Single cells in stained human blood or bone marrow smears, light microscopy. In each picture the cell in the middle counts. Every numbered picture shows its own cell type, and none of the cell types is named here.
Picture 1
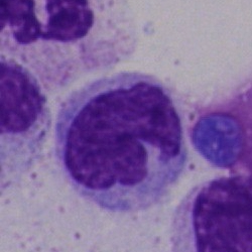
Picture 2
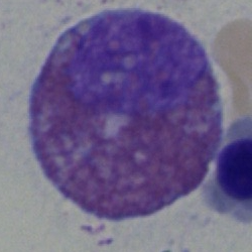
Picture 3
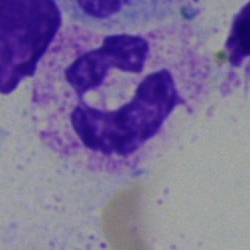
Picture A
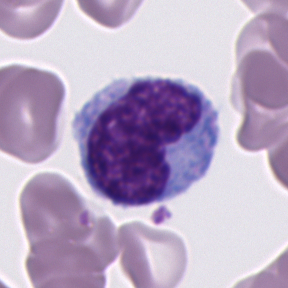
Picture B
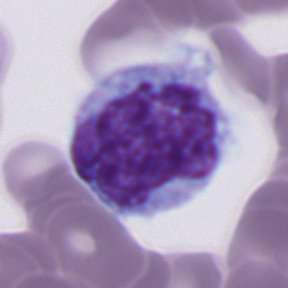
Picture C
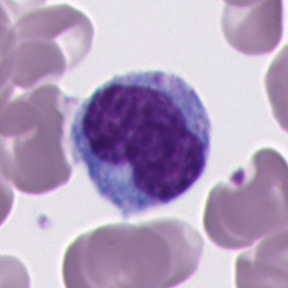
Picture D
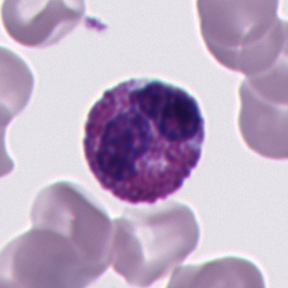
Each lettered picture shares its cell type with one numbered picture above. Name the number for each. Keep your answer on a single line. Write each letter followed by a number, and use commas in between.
A 1, B 1, C 1, D 2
